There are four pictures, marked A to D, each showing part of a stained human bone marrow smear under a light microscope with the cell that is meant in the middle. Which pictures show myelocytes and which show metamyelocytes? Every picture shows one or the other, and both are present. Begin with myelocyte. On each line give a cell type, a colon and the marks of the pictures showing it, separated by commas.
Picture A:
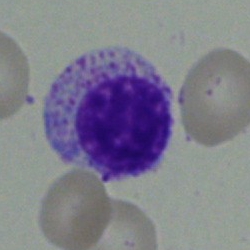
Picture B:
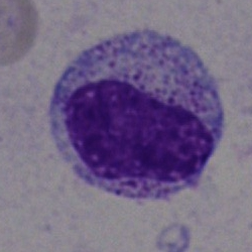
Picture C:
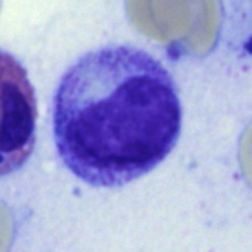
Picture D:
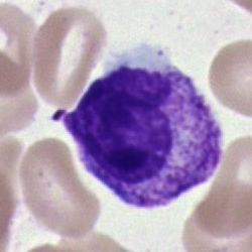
myelocyte: A
metamyelocyte: B, C, D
